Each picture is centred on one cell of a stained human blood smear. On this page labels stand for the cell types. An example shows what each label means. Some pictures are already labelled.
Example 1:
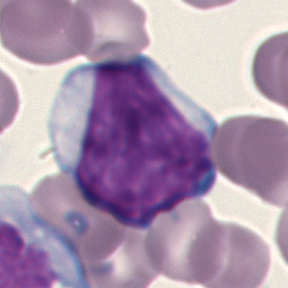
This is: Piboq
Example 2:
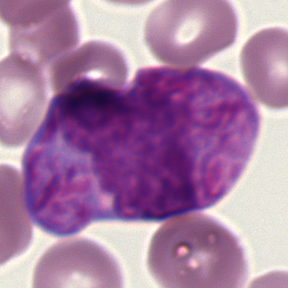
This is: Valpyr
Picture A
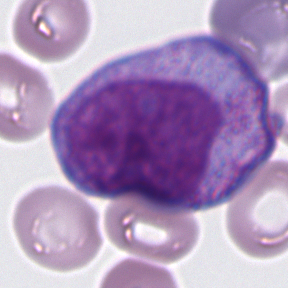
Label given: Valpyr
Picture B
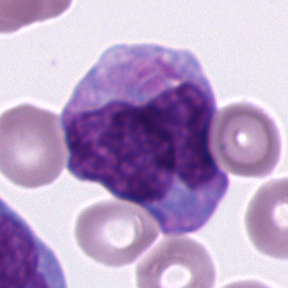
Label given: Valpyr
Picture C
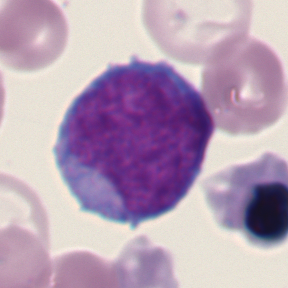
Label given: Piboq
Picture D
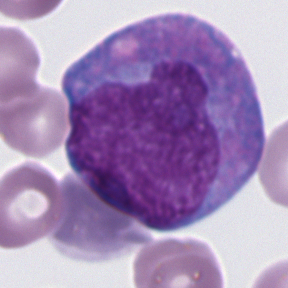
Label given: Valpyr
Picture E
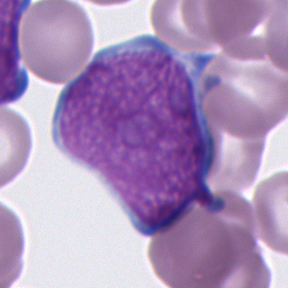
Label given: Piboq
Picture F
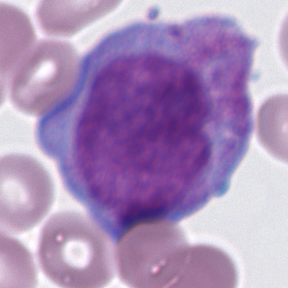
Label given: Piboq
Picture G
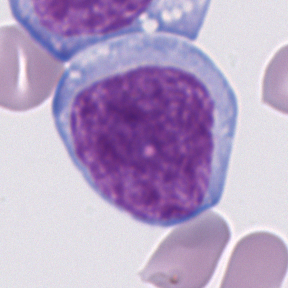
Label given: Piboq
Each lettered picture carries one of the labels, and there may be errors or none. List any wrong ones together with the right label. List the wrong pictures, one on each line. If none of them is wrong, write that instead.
F: Valpyr, not Piboq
